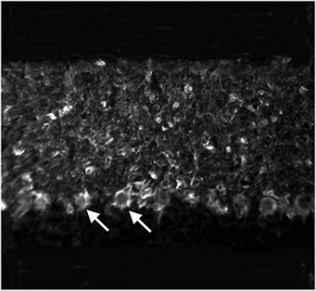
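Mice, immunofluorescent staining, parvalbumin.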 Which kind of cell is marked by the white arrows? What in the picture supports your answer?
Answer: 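Purkinje cells. Rounded bright cell bodies, larger than their neighbours, sit along the lower edge of a layer. Above them lies a layer with many smaller scattered bright cells and a meshwork of processes.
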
